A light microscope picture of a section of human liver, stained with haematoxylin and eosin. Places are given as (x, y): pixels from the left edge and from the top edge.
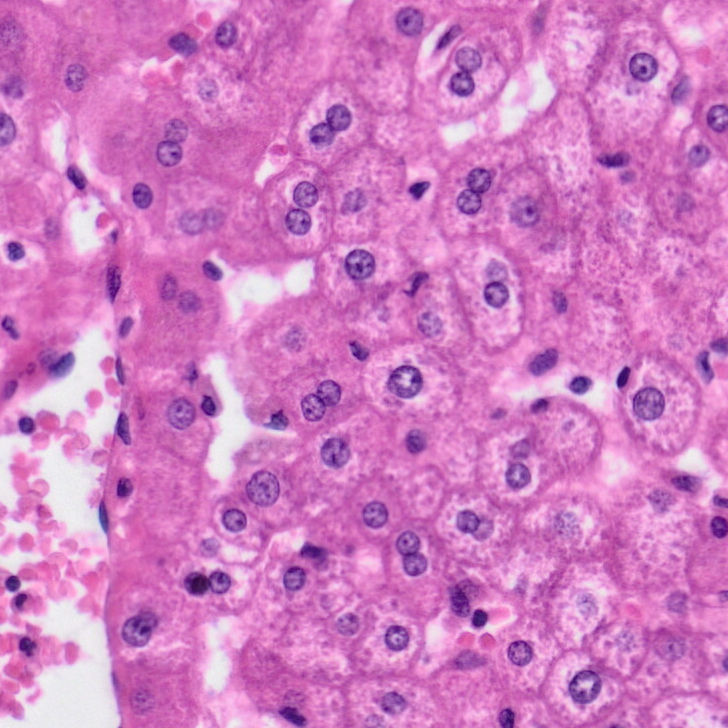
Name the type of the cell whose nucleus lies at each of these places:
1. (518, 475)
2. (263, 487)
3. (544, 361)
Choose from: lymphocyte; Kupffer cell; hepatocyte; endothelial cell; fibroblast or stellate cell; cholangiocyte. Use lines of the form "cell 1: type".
cell 1: hepatocyte
cell 2: hepatocyte
cell 3: Kupffer cell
